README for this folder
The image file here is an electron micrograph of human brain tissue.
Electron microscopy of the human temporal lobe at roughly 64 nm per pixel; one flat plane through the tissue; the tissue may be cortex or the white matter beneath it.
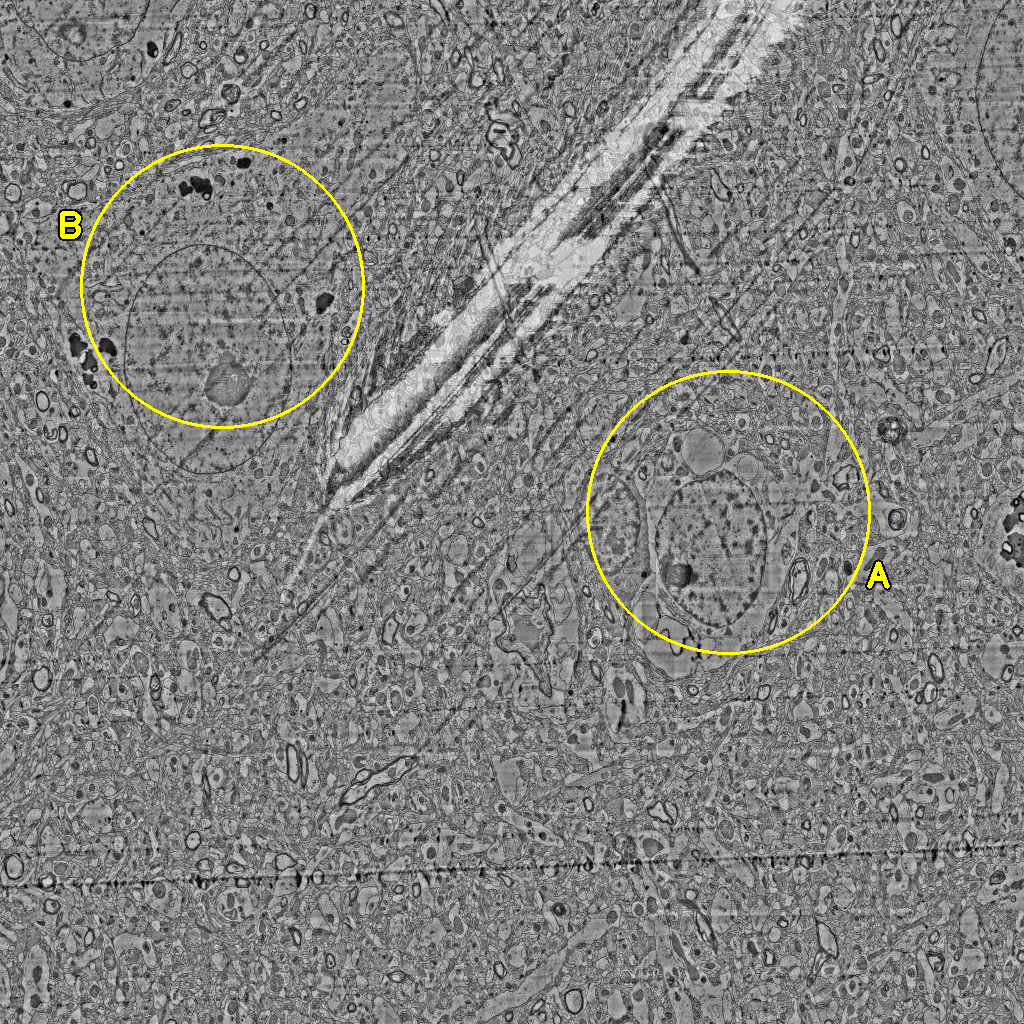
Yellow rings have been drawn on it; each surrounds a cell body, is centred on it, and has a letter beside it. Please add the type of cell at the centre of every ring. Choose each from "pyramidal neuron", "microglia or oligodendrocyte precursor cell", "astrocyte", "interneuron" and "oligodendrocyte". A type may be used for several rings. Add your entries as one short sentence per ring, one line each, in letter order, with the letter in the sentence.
Ring A marks the cell body of an astrocyte.
Ring B marks the cell body of a pyramidal neuron.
